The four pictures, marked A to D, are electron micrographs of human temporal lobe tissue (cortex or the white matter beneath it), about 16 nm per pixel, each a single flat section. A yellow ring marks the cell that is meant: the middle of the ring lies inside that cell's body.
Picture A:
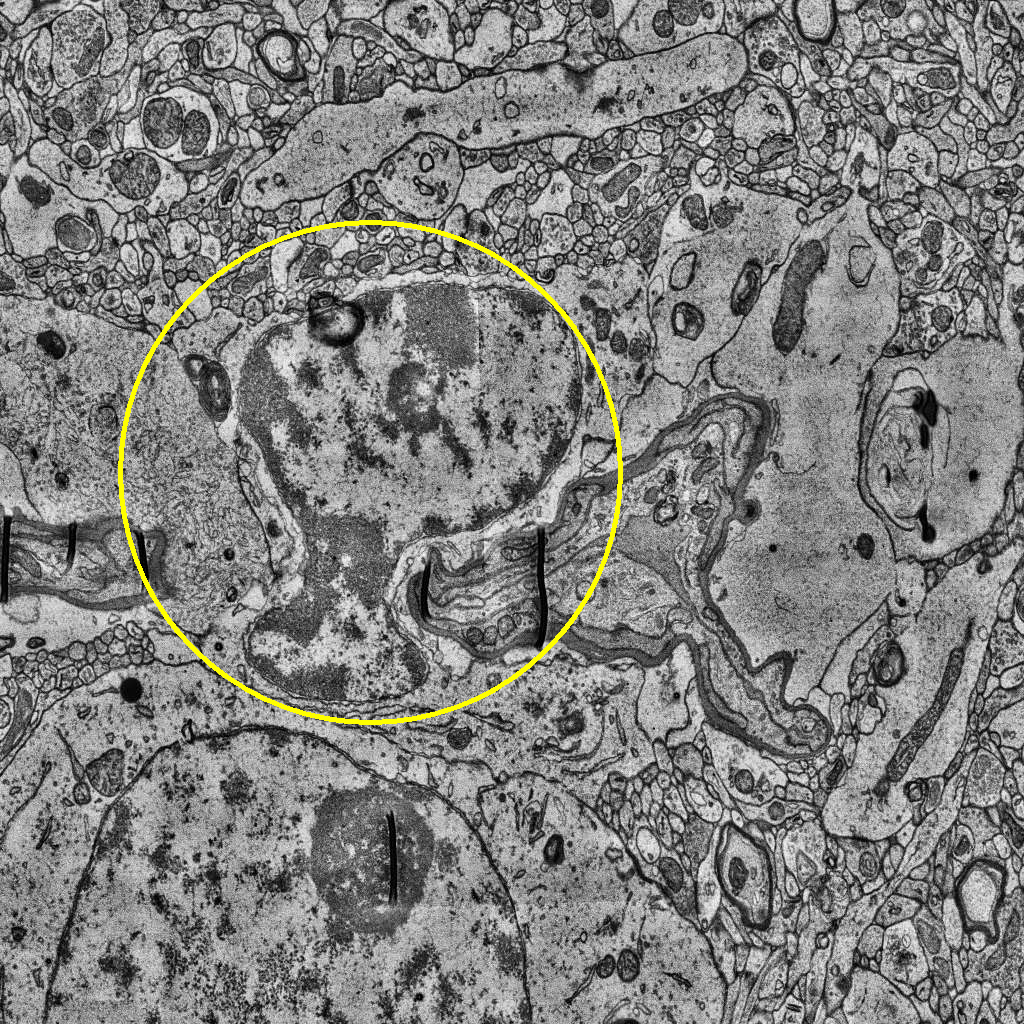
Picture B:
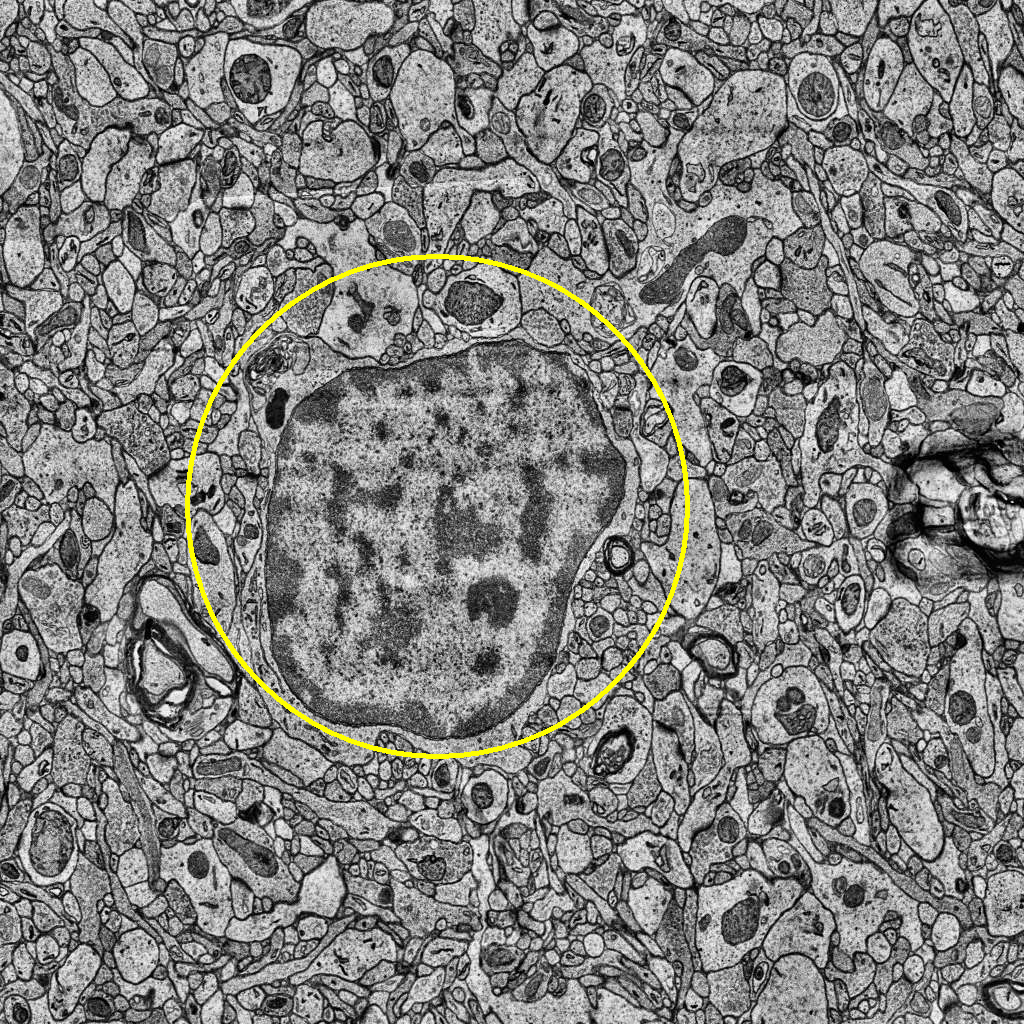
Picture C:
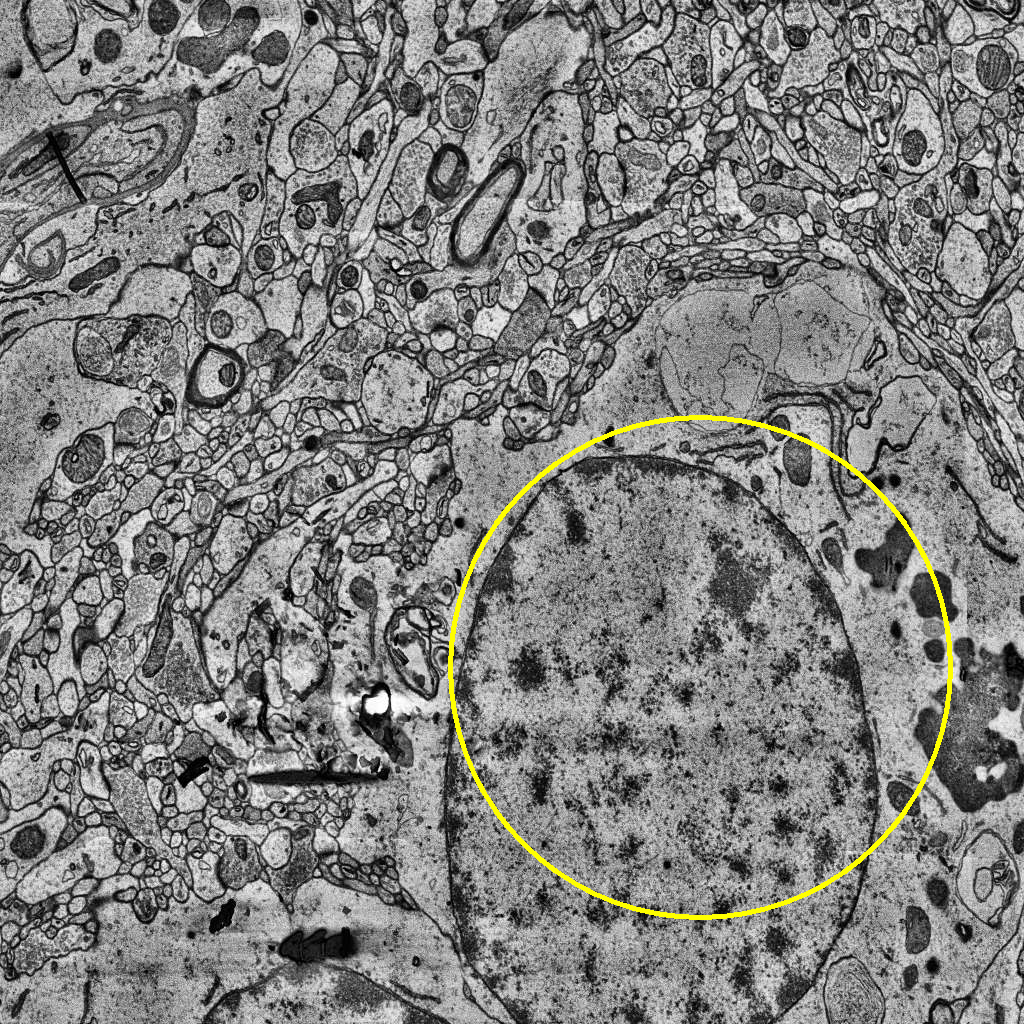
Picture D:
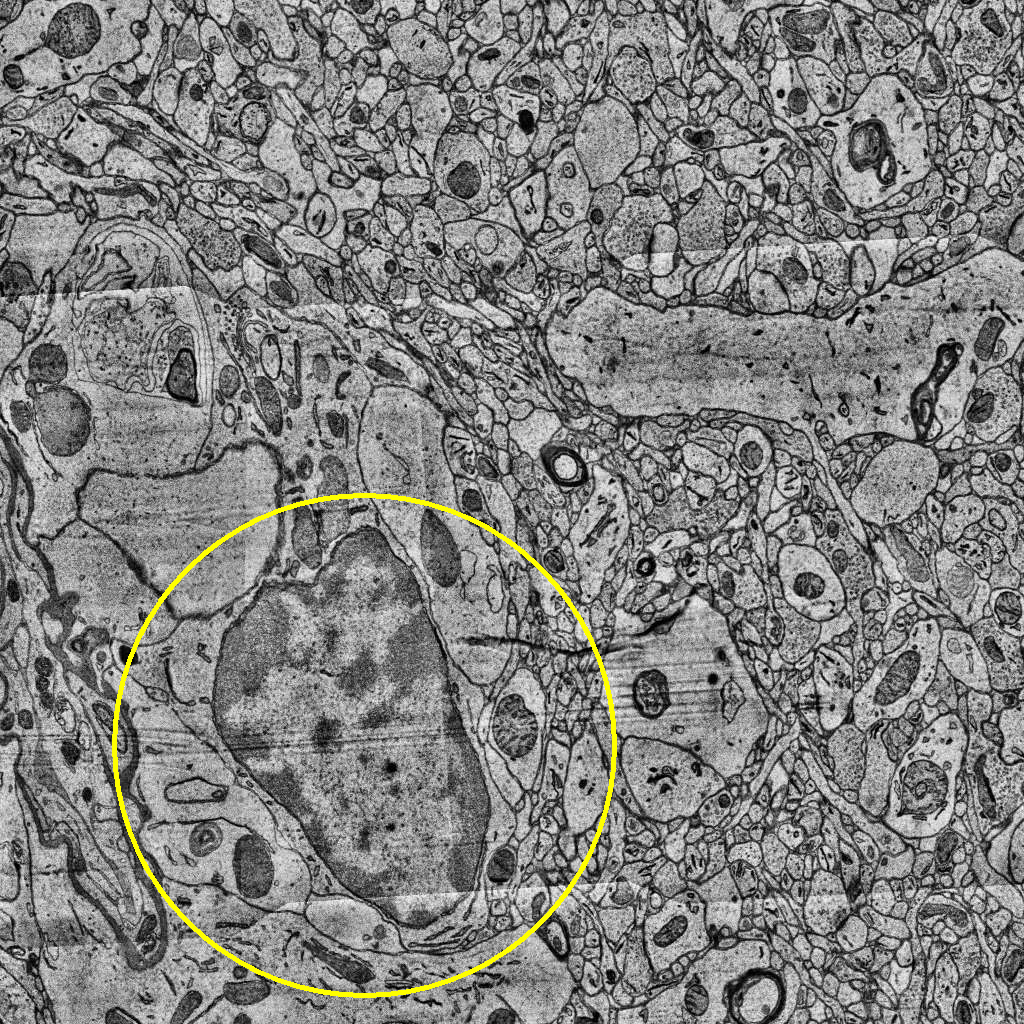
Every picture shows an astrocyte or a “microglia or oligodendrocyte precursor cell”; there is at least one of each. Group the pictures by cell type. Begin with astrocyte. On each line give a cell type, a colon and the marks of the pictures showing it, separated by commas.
astrocyte: C
microglia or oligodendrocyte precursor cell: A, B, D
